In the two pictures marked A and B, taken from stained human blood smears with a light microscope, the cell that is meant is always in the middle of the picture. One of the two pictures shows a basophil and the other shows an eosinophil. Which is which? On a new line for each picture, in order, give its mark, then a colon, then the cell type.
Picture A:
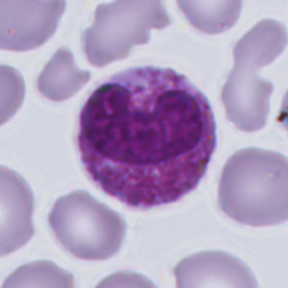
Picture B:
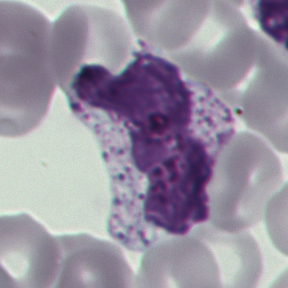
A: eosinophil
B: basophil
